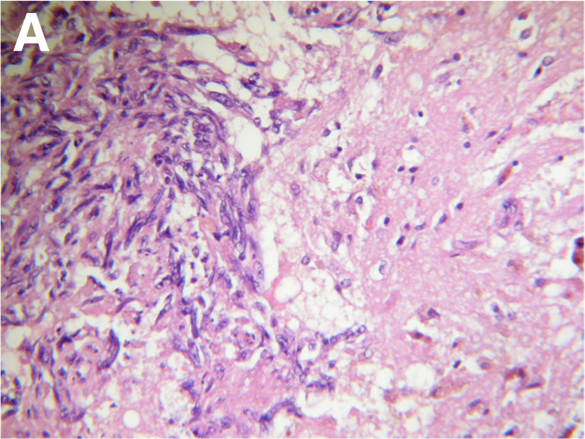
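This is a tumour nodule in brain tissue, made of spindle-shaped cells. On the left the cells are packed closely, with long, slender dark purple nuclei that sweep in curving whorls and bundles, and small slit-like spaces lie between them. On the right the tissue is paler pink and full of clear vacuoles, with scattered small round nuclei of the surrounding brain.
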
